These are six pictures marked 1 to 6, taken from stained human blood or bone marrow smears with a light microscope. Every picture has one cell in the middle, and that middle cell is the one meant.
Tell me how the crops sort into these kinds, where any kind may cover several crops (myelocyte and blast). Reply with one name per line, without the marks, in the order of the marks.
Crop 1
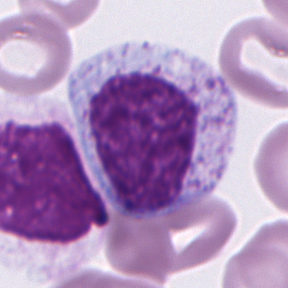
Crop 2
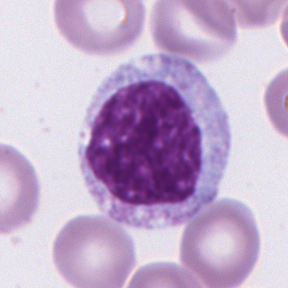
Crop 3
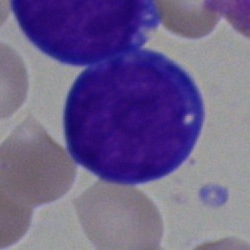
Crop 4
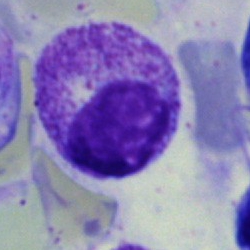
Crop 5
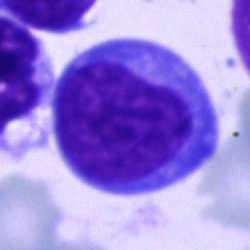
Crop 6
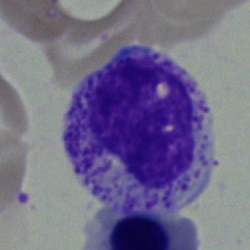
myelocyte
myelocyte
blast
myelocyte
blast
myelocyte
